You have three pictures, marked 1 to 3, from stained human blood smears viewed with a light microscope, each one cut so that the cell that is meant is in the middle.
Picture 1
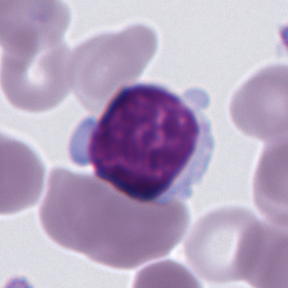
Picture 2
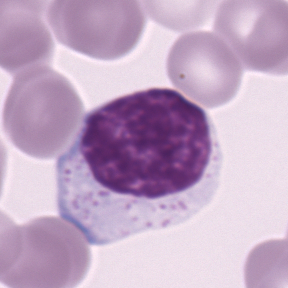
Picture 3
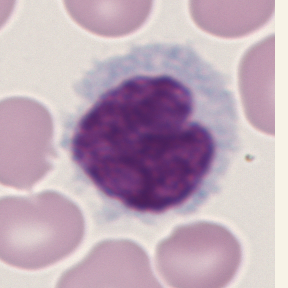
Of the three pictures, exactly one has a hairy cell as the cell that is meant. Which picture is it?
3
